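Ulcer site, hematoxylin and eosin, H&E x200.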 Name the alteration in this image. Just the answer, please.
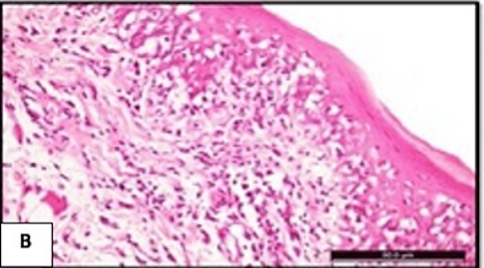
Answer: Atrophied vacuolated epithelium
